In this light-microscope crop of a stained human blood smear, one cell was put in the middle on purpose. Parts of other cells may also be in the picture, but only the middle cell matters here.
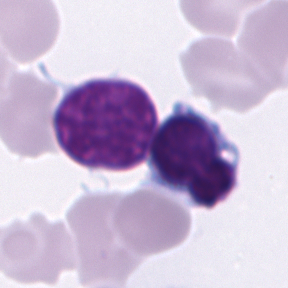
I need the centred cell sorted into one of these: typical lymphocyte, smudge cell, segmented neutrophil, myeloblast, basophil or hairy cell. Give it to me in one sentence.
Regarding the central cell, it is a myeloblast.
